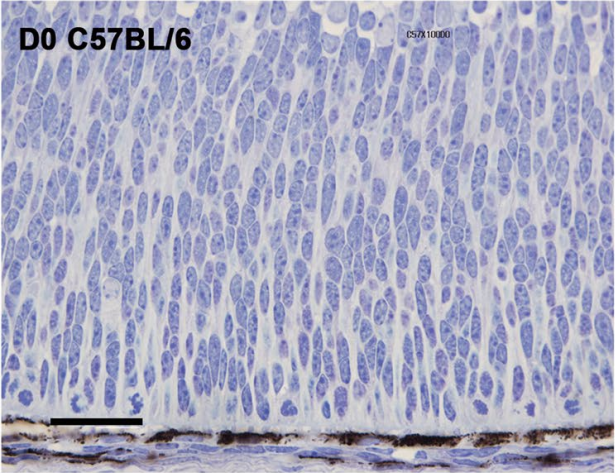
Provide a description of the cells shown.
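This is a section of developing retina made of closely packed cells with elongated, oval, blue-stained nuclei arranged in radial columns. The nuclei are crowded with only thin pale gaps between them, and no round empty spaces interrupt the layer. Toward the top the nuclei are somewhat rounder and more loosely arranged. At the bottom a dark brown pigmented band lines the tissue.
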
